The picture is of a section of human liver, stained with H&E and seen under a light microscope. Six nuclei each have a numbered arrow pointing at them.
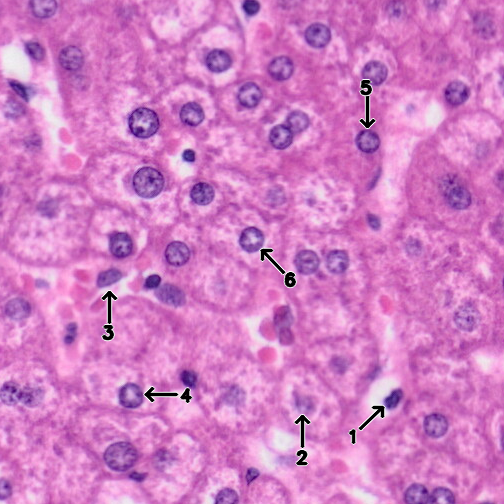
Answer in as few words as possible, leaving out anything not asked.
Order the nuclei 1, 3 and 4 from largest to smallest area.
4, 3, 1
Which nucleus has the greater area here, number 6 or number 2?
6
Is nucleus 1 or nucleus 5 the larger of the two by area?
5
